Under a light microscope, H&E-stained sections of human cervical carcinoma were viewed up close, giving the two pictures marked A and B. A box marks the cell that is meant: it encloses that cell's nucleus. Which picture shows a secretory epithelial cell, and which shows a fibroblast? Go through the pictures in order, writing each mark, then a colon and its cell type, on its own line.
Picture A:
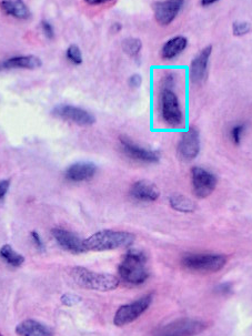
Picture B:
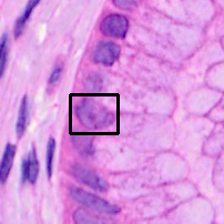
A: fibroblast
B: secretory epithelial cell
